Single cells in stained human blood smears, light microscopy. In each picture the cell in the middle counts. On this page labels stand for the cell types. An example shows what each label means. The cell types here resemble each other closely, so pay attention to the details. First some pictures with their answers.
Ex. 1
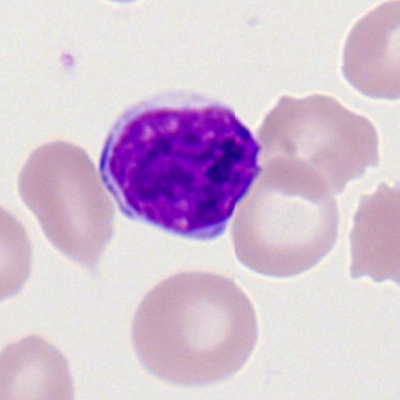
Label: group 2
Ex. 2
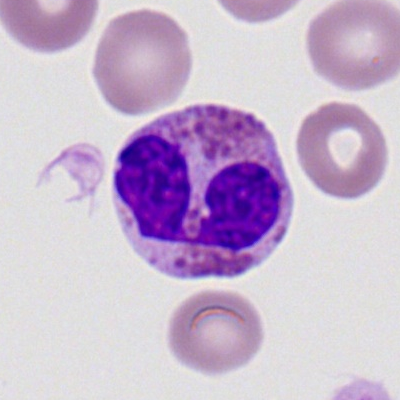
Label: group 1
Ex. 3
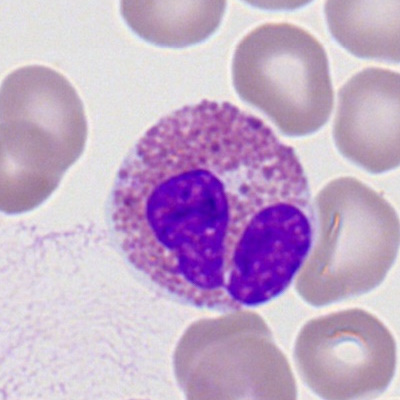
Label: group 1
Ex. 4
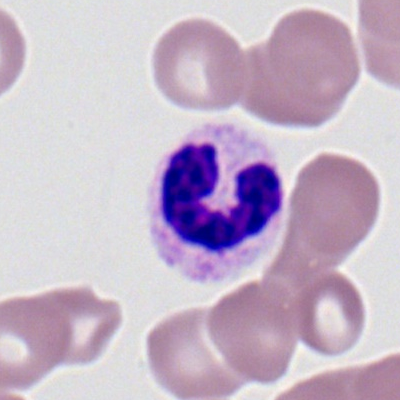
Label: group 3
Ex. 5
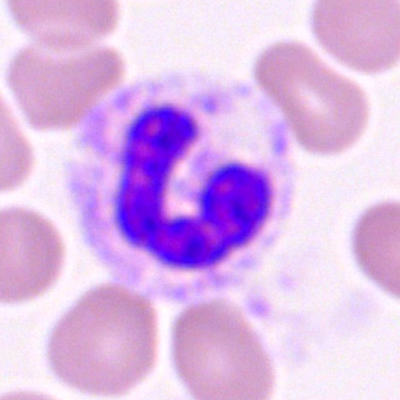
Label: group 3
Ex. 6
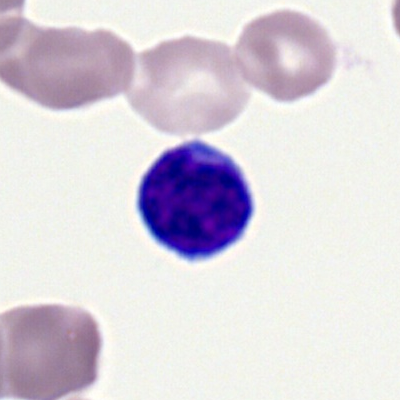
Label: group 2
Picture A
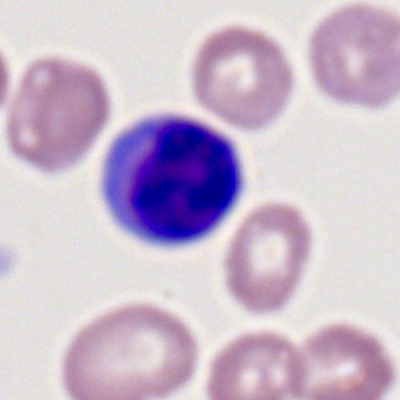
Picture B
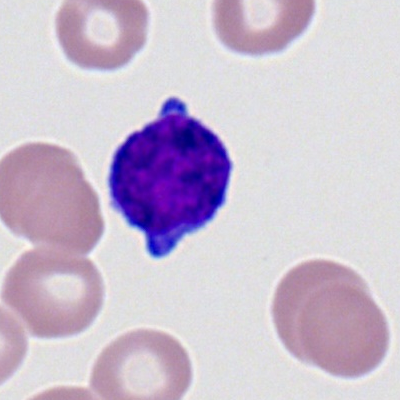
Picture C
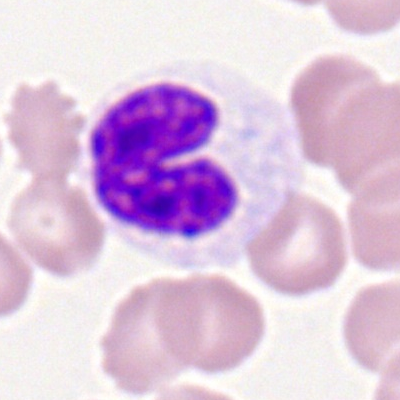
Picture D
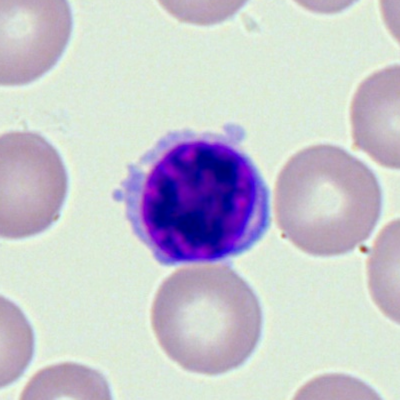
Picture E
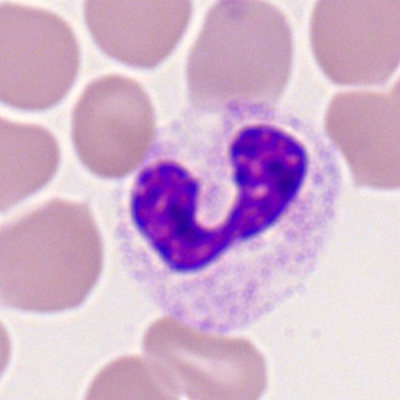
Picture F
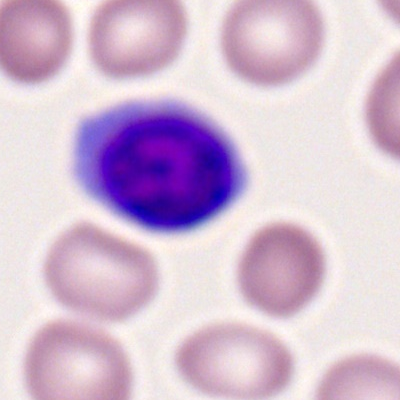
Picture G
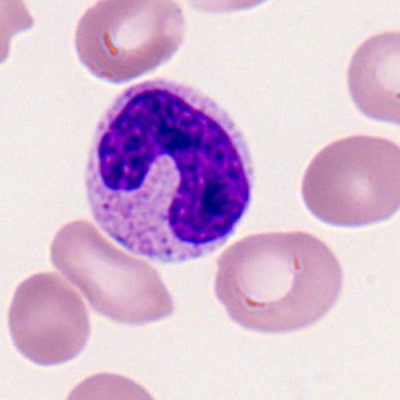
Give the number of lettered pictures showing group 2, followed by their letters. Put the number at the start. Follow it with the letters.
Count: 4 (A, B, D, F)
